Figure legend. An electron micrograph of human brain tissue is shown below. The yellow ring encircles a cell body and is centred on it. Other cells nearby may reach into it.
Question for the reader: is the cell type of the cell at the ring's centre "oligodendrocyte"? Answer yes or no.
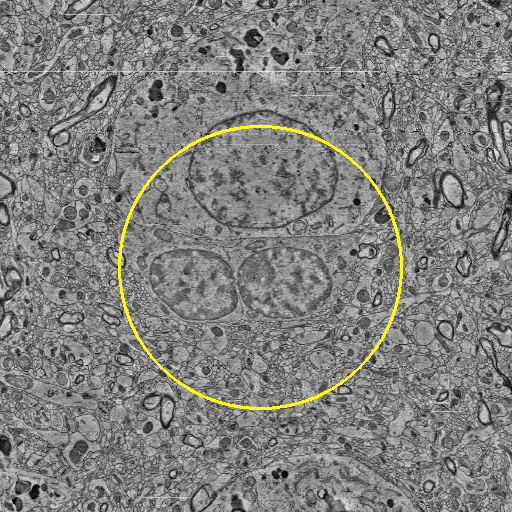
yes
